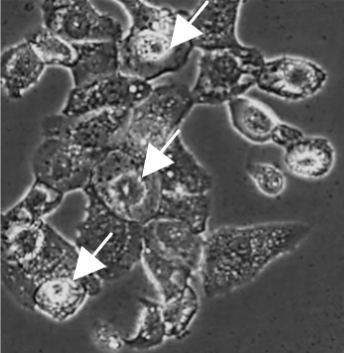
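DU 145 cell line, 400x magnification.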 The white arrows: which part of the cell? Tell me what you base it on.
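Vacuoles. The arrows point to clear spaces within the cytoplasm of cells. The cytoplasm of many cells looks bubbly and granular.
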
